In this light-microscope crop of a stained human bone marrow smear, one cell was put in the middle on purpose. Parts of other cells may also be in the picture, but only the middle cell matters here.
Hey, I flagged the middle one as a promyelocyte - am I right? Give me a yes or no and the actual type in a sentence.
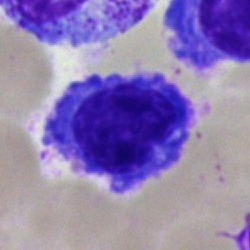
No, the cell in the middle is a plasma cell, not a promyelocyte.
